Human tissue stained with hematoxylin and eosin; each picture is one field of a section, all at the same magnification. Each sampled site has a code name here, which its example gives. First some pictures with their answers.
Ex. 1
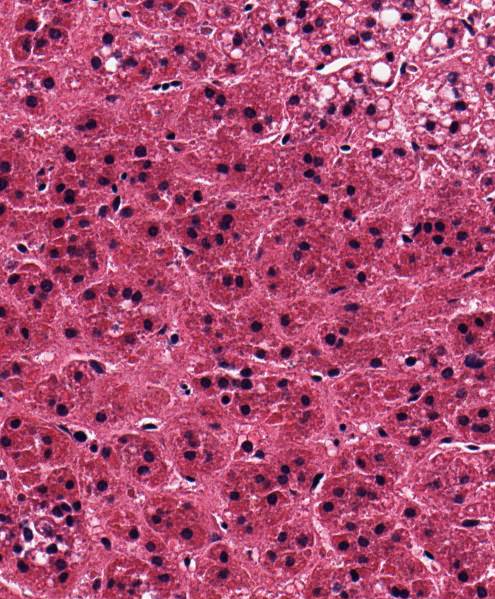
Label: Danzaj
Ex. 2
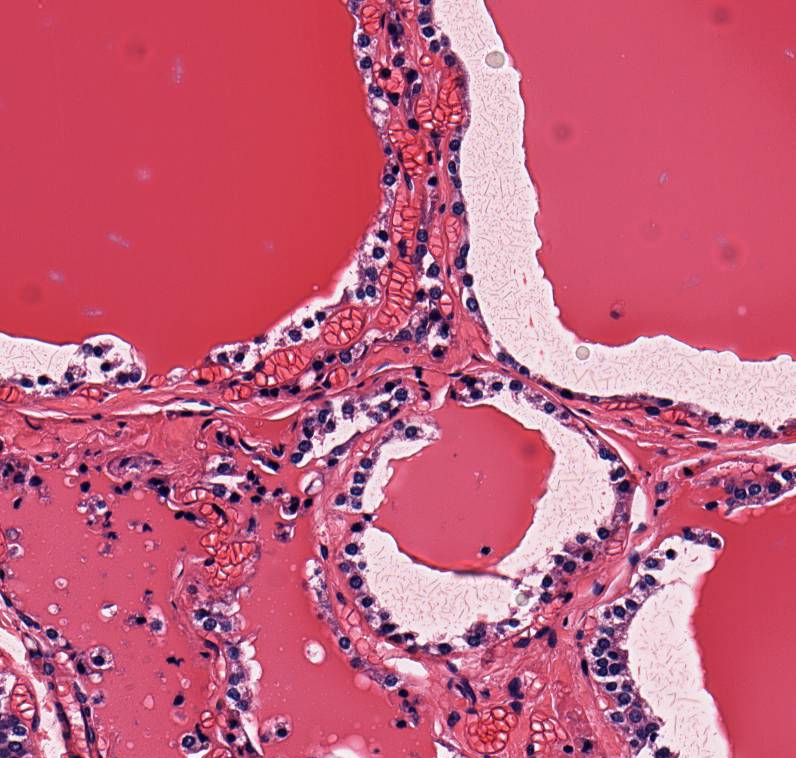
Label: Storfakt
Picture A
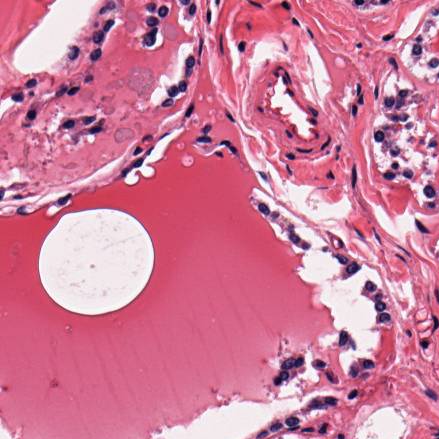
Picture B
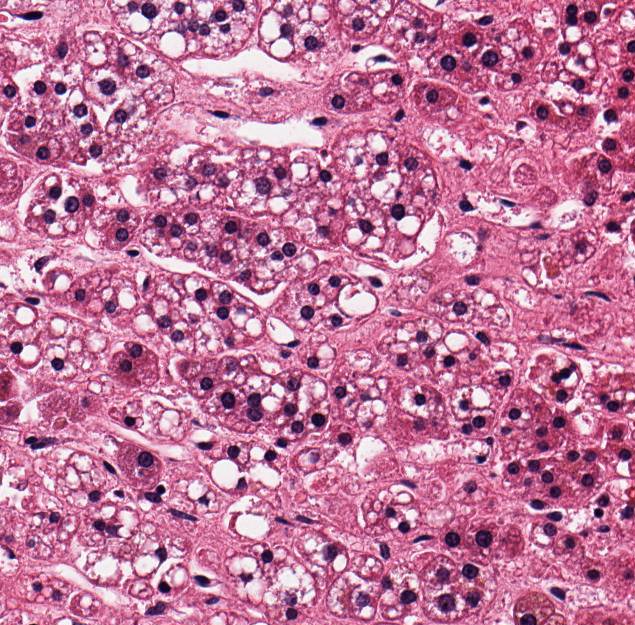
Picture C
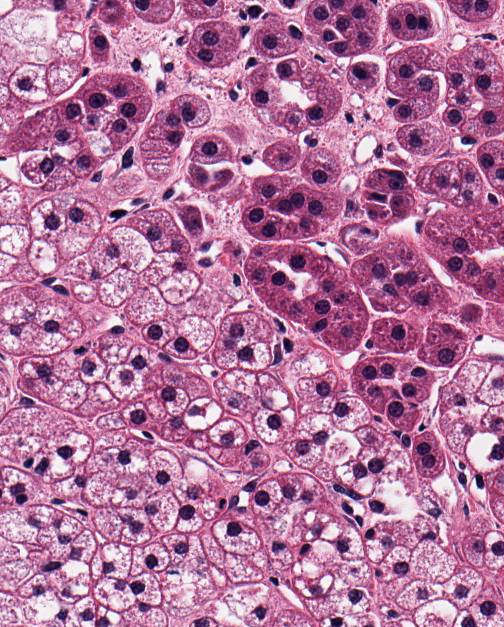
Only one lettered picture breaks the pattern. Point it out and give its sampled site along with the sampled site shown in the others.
Picture A: Storfakt. All others: Danzaj.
